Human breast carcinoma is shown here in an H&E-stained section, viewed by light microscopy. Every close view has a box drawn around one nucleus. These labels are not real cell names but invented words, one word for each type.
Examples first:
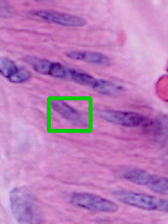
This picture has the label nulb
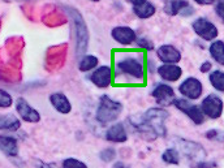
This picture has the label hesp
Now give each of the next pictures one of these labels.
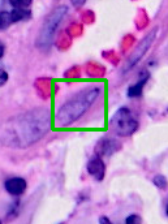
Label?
nulb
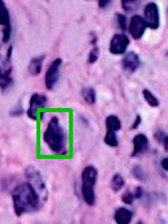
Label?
hesp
